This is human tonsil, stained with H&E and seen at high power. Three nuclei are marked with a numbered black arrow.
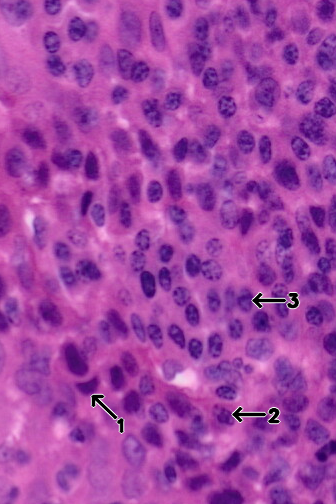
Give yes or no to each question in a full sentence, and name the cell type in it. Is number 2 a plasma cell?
No, cell 2 isn't a plasma cell; it's a squamous epithelial cell.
